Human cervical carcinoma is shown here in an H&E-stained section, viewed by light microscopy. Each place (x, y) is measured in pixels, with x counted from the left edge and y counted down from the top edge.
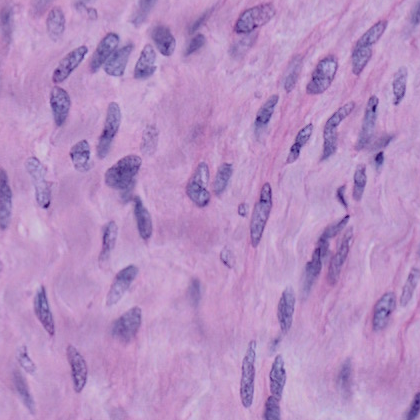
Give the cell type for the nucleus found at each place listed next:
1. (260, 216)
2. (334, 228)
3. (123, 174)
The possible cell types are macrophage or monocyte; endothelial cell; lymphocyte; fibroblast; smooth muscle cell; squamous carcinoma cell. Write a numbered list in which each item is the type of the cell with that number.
1. smooth muscle cell
2. smooth muscle cell
3. fibroblast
